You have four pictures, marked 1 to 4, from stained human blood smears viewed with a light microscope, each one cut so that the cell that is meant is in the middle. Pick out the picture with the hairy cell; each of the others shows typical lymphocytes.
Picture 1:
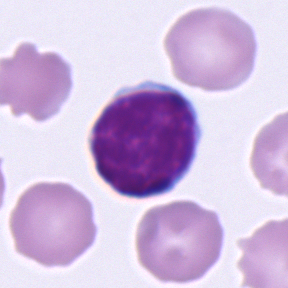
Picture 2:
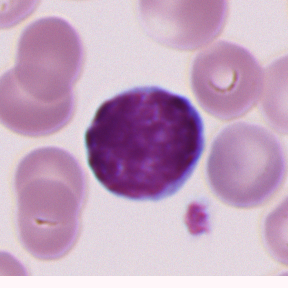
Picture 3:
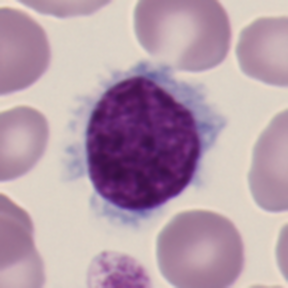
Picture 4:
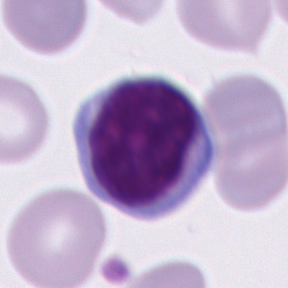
3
